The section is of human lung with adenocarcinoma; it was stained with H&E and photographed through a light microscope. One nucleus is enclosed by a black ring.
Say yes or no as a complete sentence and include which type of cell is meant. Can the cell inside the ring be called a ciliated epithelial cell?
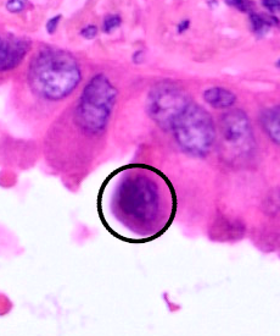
No, the cell inside the ring represents a carcinoma cell and does not represent a ciliated epithelial cell.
